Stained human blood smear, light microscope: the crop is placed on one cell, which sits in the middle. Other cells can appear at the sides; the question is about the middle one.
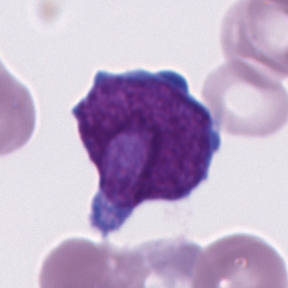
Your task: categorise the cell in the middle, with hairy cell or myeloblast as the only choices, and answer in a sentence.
Located at the centre of the crop is a myeloblast.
